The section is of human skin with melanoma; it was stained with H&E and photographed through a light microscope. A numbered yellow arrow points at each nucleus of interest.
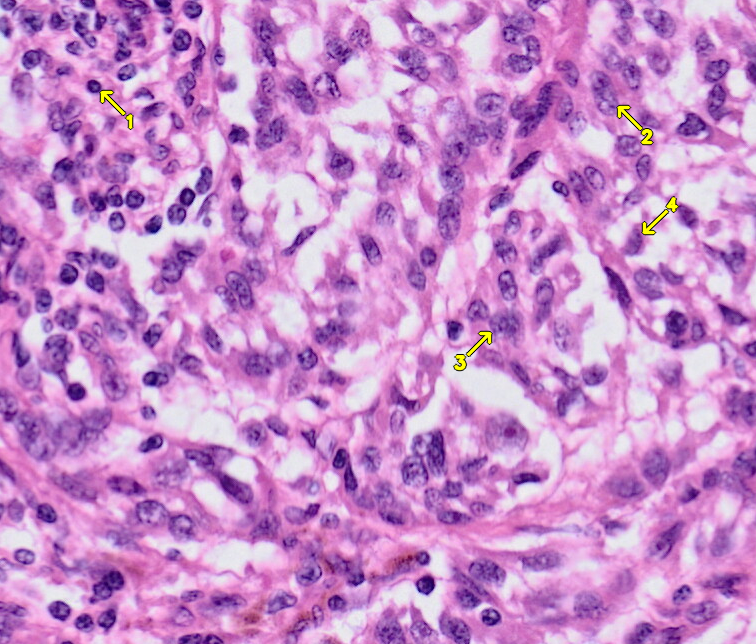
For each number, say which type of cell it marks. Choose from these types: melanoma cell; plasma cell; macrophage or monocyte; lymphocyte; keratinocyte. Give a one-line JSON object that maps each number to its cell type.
{"1": "lymphocyte", "2": "melanoma cell", "3": "melanoma cell", "4": "melanoma cell"}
